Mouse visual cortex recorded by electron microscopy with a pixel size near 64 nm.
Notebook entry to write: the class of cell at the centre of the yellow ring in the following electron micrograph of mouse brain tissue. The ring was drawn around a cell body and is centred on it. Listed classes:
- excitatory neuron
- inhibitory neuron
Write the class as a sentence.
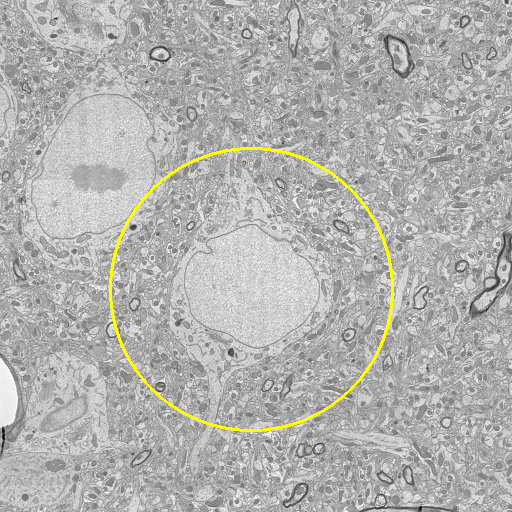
The yellow ring sits on an excitatory neuron.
